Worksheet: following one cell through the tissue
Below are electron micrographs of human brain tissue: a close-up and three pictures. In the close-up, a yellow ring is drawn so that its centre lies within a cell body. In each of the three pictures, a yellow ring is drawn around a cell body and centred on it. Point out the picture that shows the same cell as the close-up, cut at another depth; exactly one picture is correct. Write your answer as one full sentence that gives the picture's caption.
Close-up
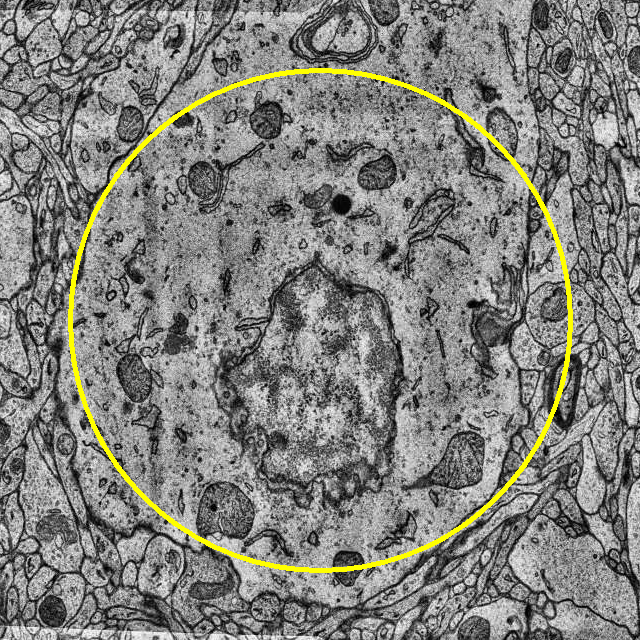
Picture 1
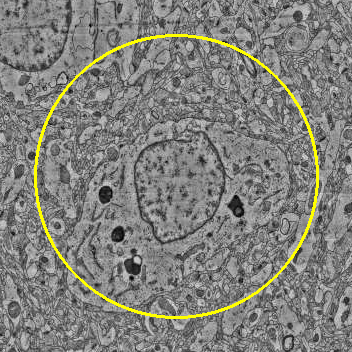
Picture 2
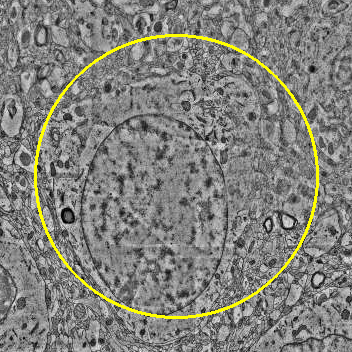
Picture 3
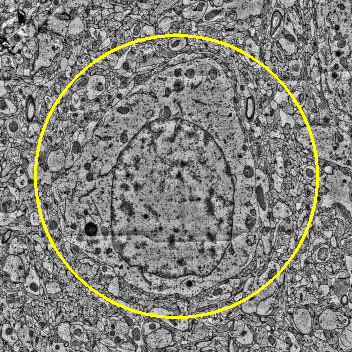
The cell featured in the close-up is found in Picture 3.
